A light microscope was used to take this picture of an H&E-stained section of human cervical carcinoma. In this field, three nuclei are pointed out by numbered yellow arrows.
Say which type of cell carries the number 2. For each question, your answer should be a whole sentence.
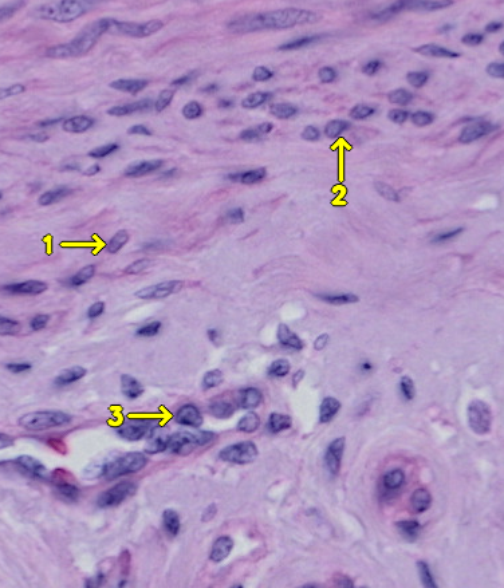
In this section, the cell tagged 2 is a smooth muscle cell.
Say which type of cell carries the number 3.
The cell marked with the number 3 is an endothelial cell.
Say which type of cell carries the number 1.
The cell identified by the number 1 is a smooth muscle cell.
